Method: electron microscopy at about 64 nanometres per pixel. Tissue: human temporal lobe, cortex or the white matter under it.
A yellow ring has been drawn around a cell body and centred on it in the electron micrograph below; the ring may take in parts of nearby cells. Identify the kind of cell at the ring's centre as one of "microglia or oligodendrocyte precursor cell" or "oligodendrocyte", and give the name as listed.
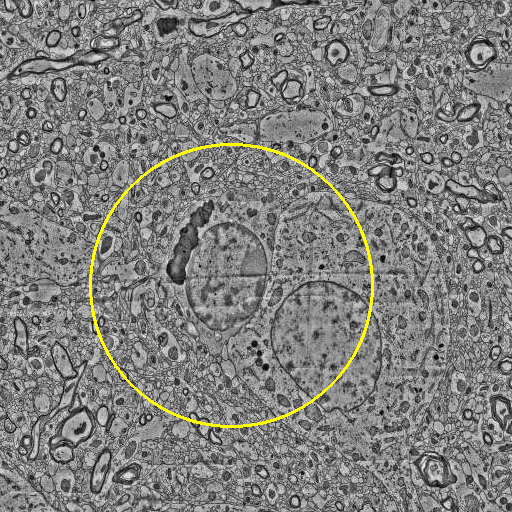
oligodendrocyte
